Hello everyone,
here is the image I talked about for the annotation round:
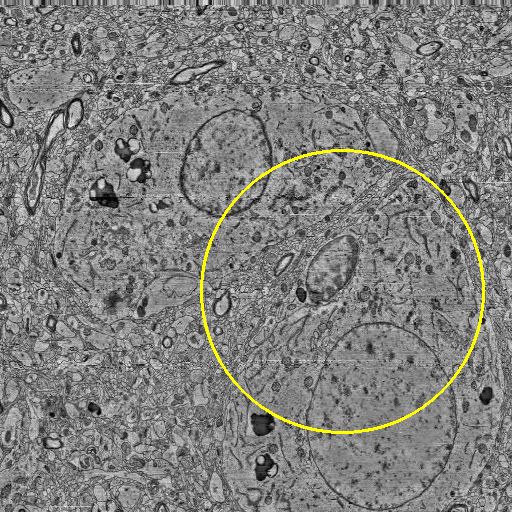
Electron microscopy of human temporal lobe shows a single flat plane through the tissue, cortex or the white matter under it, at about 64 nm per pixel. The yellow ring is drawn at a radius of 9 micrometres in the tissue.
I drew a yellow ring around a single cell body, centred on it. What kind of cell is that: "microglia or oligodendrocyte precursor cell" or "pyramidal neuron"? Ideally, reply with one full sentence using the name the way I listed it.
The cell your yellow ring is centred on is a microglial cell or oligodendrocyte precursor cell, going by your list.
